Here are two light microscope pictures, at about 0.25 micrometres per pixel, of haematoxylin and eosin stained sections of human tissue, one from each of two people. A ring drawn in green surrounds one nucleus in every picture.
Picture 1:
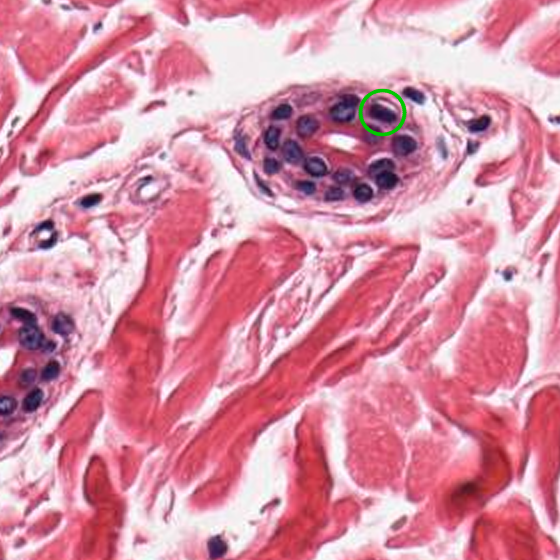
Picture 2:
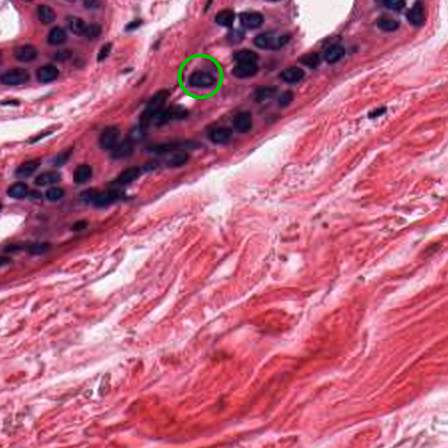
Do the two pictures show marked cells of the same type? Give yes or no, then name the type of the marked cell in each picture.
Yes, both are sweat gland cells.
